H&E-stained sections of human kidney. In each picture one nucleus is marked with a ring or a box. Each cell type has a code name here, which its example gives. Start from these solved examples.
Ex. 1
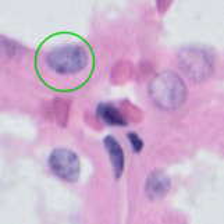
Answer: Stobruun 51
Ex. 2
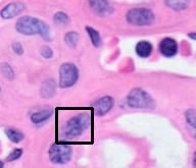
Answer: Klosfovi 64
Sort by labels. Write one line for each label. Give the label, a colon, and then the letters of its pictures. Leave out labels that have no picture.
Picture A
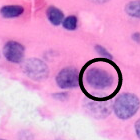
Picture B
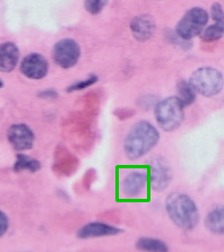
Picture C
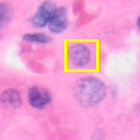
Stobruun 51: C
Klosfovi 64: A, B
